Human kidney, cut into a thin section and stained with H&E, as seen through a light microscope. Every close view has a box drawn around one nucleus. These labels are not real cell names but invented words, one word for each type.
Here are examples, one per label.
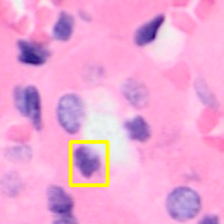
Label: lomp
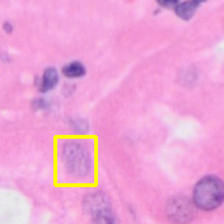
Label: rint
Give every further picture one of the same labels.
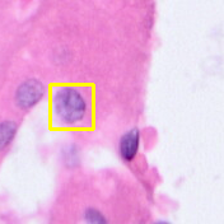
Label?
lomp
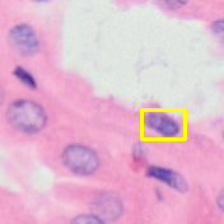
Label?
lomp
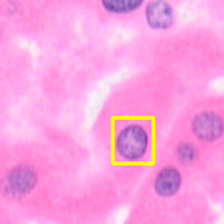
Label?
rint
